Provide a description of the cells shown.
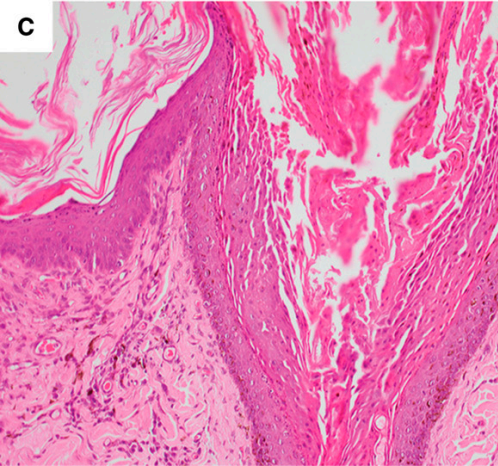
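This is haired skin at higher magnification, showing a follicle opening lined by thick stratified squamous epithelium with the neighbouring epidermis at left. The epithelium of the follicle opening is many cell layers thick, with a darker, purple basal zone and paler pink polygonal cells toward the lumen. The lumen of the funnel is filled with abundant compact, bright pink, lamellated keratin that extends upward toward the surface. The adjacent surface epidermis is covered by layered pink keratin. In the underlying pink collagenous dermis lie small vessels, scattered dark nuclei of inflammatory cells and a few brown pigment granules.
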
